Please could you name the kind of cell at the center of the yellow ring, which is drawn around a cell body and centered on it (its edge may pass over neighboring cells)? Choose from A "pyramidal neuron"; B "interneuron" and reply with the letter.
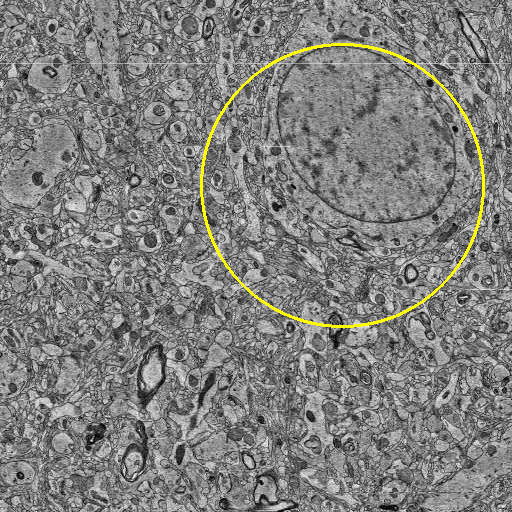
A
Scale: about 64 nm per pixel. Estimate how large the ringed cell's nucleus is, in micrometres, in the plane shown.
In this plane, the nucleus is roughly 13 by 10 micrometres.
